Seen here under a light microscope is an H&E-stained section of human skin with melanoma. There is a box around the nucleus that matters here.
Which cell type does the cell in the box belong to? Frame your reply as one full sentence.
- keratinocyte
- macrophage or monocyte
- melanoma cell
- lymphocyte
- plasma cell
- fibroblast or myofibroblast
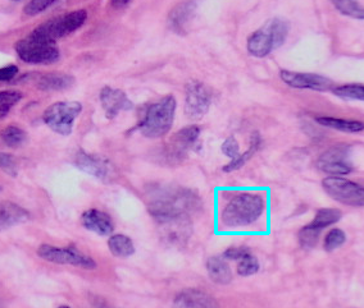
In this tissue section, the cell in the box is to be classed as a fibroblast or myofibroblast.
